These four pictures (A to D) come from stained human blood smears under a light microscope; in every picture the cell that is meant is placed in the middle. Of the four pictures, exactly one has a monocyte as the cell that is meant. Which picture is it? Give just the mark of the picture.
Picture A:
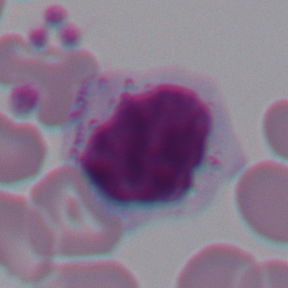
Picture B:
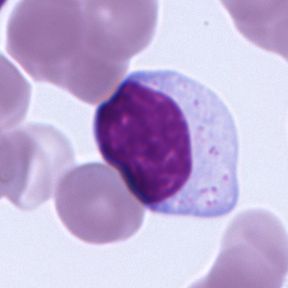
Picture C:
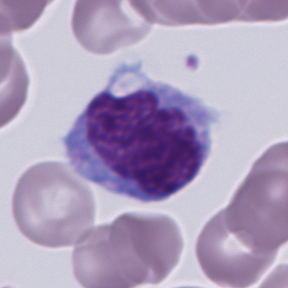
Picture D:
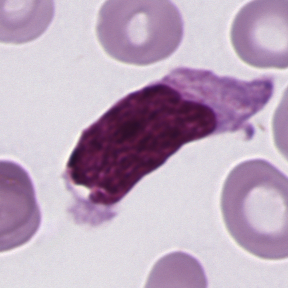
C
